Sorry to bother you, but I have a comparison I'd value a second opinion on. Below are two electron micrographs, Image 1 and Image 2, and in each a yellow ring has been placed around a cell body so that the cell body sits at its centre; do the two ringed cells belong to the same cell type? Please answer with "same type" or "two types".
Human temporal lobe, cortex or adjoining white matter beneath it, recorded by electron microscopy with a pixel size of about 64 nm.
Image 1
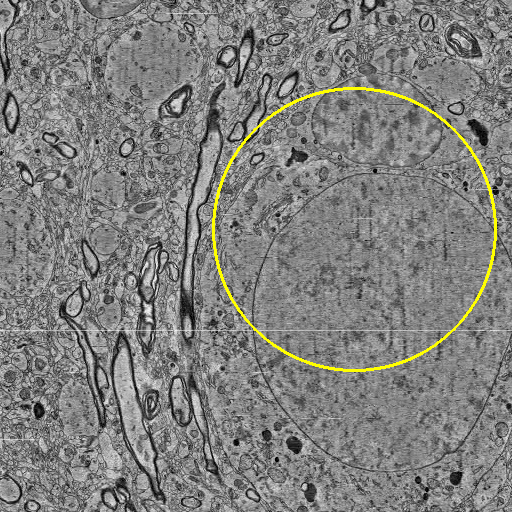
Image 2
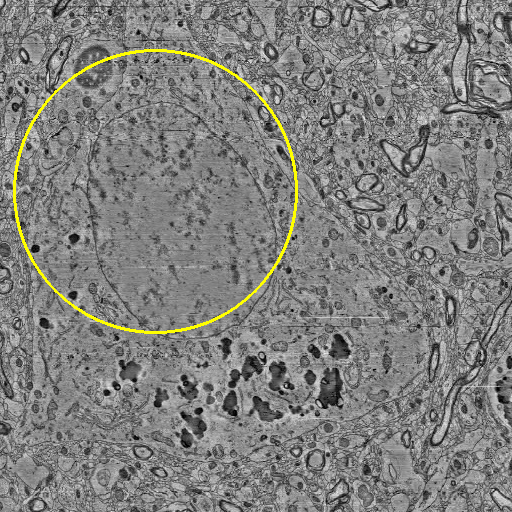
same type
